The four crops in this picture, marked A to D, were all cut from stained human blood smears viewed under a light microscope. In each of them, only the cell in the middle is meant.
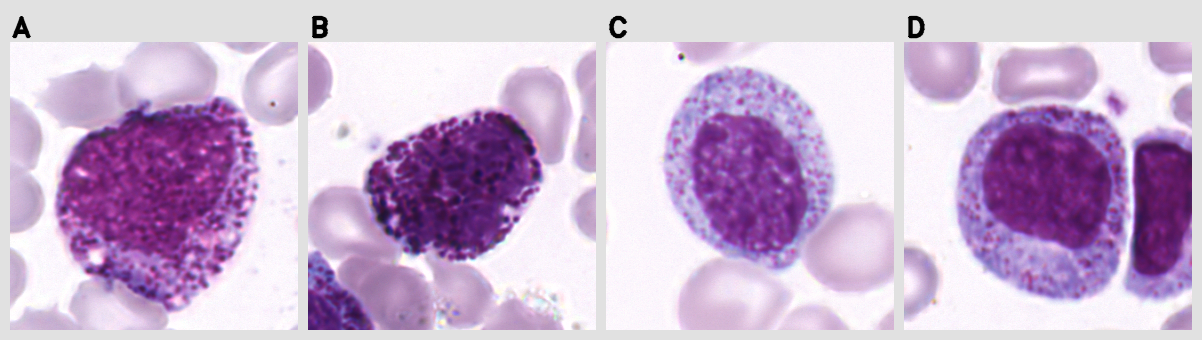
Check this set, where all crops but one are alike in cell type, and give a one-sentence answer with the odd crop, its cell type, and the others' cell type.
Crop B does not match the others; it shows a basophil, and they show promyelocytes.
